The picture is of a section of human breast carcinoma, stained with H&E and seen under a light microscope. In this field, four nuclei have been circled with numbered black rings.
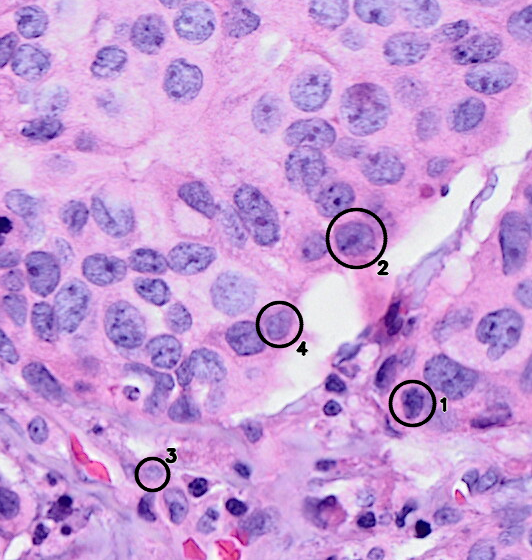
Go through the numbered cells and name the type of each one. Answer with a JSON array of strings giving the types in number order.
["carcinoma cell", "carcinoma cell", "endothelial cell", "carcinoma cell"]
